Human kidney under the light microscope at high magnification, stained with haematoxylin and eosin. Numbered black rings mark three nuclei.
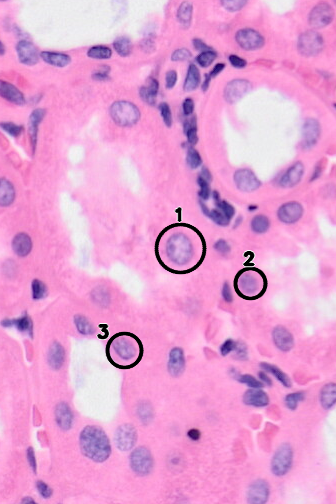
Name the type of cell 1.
proximal tubule cell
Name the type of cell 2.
proximal tubule cell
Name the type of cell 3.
loop of Henle or distal tubule cell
